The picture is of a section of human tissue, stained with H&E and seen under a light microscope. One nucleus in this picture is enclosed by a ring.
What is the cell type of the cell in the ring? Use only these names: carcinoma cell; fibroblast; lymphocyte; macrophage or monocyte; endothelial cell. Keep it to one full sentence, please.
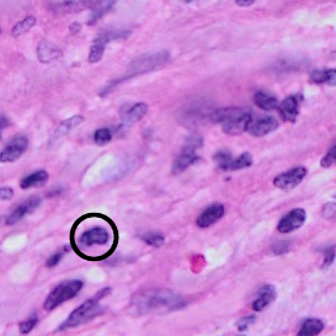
The cell type represented by the cell in the ring is that of a lymphocyte.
